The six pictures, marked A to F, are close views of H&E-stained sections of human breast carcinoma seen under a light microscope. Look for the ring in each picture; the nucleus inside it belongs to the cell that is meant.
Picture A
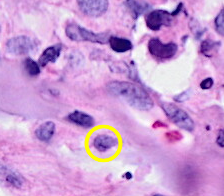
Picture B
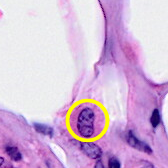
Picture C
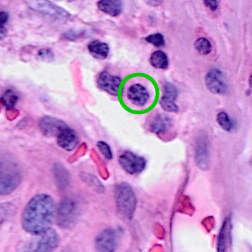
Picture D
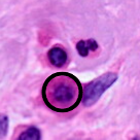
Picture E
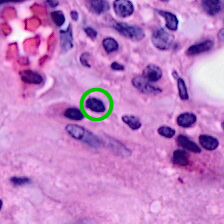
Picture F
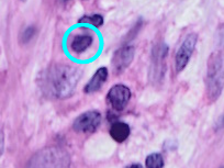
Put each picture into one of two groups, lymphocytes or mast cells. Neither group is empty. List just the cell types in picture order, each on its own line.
mast cell
mast cell
mast cell
mast cell
lymphocyte
lymphocyte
